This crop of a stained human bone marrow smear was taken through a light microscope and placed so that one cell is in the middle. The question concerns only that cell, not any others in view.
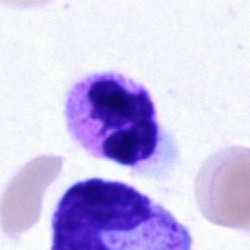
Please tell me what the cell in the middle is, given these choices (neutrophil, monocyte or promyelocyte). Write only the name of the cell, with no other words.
neutrophil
